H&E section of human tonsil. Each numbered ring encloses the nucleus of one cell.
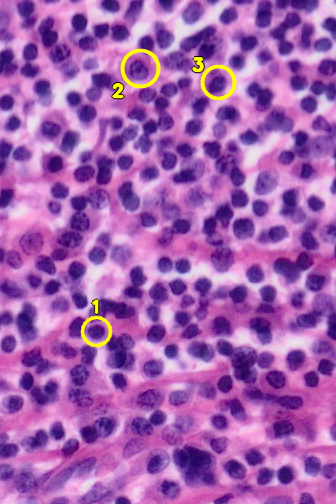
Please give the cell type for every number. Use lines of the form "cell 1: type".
cell 1: small lymphocyte
cell 2: plasma cell
cell 3: plasma cell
